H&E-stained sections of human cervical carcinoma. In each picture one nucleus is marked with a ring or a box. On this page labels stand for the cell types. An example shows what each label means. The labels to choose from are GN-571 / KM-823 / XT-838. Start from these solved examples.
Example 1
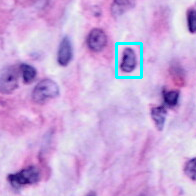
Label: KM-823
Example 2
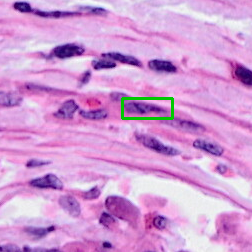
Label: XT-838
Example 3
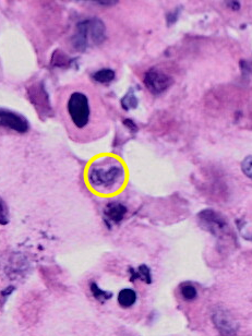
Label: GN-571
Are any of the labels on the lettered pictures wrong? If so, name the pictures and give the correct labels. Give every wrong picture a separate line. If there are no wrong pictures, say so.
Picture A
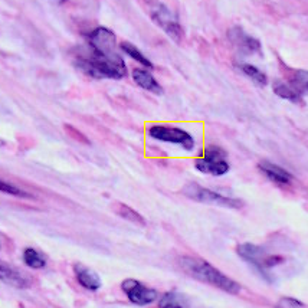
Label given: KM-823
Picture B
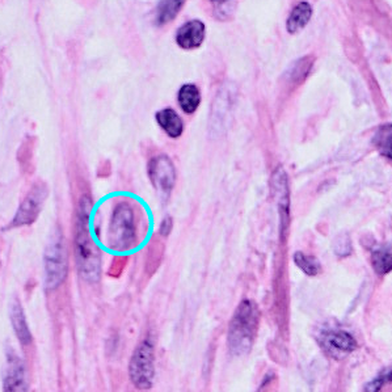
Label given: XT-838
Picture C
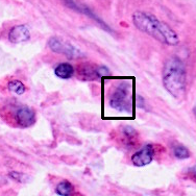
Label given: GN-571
All correct.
